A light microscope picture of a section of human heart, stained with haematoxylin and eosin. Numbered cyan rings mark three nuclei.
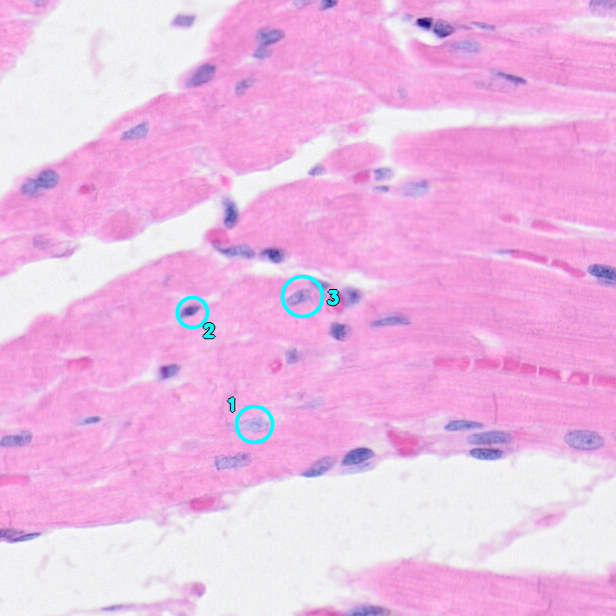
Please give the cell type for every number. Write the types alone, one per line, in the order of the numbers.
cardiomyocyte
endothelial cell
cardiomyocyte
